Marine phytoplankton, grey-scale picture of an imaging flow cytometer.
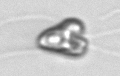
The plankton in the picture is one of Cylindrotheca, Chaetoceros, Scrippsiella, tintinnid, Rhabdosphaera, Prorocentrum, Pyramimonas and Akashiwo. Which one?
Pyramimonas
